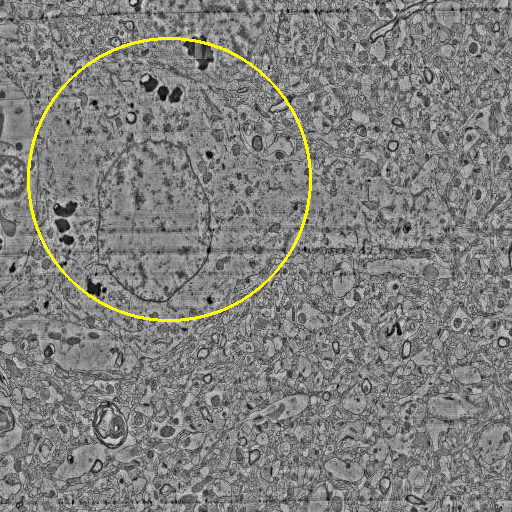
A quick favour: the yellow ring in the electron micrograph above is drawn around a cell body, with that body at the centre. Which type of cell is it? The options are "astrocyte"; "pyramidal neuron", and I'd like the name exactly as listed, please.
pyramidal neuron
